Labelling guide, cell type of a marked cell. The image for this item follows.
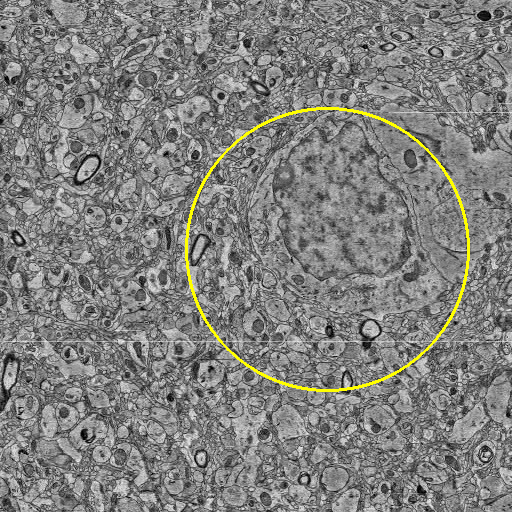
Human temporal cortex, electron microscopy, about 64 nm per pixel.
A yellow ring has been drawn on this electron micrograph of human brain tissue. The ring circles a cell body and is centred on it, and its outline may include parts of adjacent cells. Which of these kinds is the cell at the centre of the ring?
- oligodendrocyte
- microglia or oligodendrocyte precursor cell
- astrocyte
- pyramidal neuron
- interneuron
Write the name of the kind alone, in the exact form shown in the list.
interneuron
